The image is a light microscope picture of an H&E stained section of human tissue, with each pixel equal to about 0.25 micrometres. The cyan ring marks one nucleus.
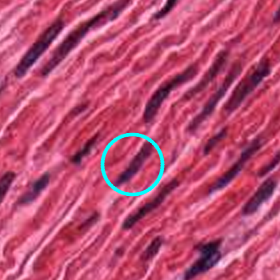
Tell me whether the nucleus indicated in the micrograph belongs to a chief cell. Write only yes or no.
no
